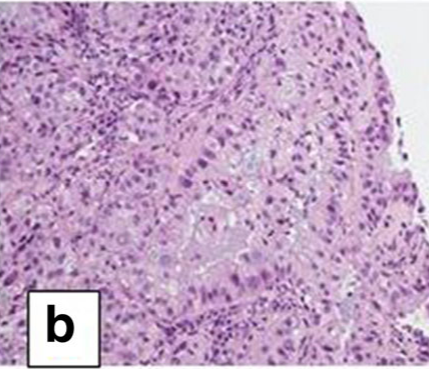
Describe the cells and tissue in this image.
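Adenocarcinoma at high power, composed of malignant epithelial cells forming crowded nests and ill-defined gland-like groups around small, irregular pale spaces. The tumour cells have enlarged, oval to irregular nuclei, dark purple and varying in size and shape, with moderate to abundant pink cytoplasm. Cell borders are indistinct in places. Some spaces contain pale, faintly bluish material.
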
